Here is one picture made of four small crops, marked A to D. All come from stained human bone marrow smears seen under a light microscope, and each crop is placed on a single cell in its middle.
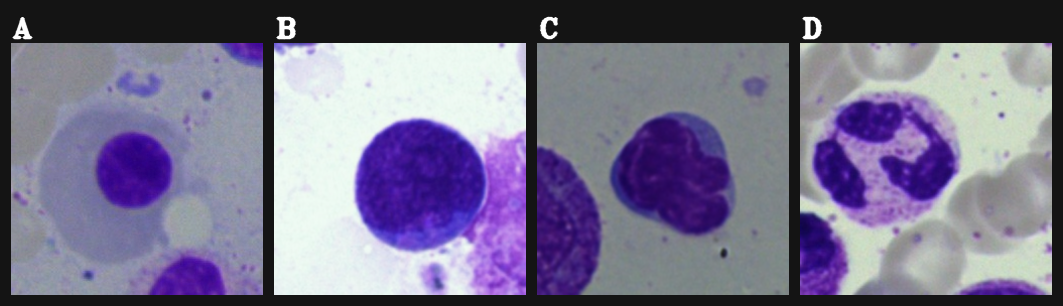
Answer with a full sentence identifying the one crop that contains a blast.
The one crop in the set with a blast is crop B.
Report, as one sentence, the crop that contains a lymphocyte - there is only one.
Of the cells presented, the one in crop C is a lymphocyte.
